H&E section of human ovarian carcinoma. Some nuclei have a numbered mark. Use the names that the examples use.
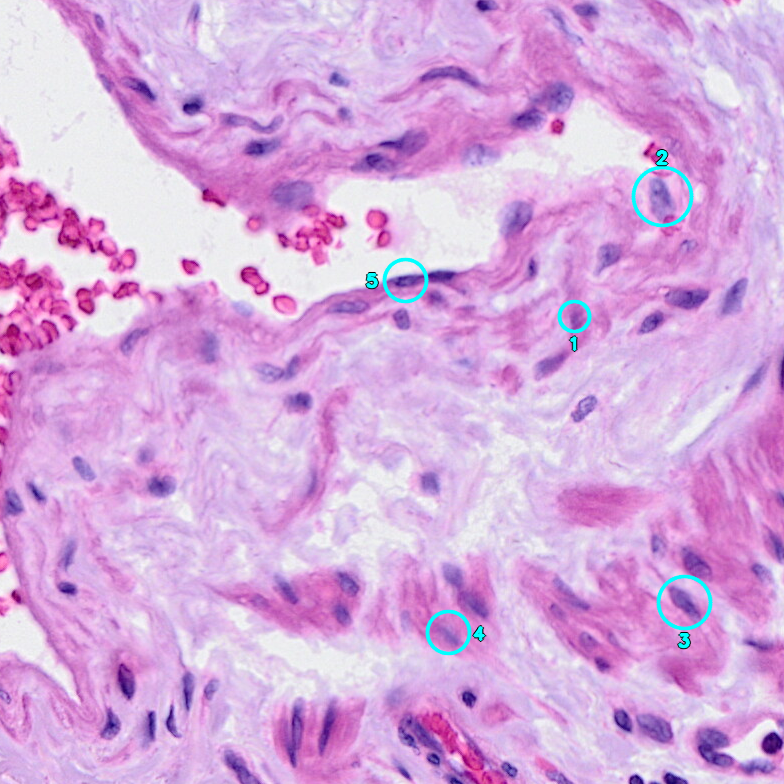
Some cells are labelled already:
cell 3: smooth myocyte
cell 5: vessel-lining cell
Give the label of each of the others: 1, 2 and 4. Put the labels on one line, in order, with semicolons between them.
smooth myocyte; vessel-lining cell; smooth myocyte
